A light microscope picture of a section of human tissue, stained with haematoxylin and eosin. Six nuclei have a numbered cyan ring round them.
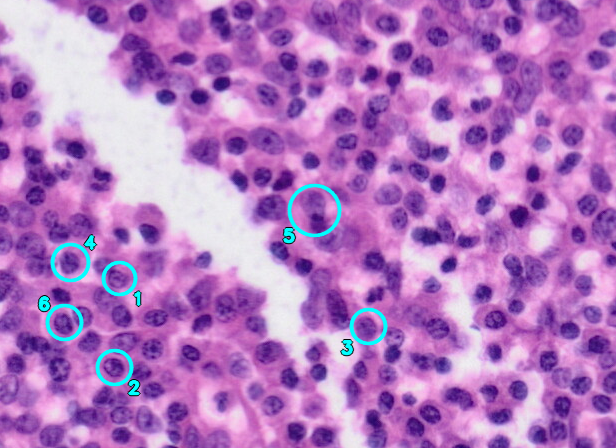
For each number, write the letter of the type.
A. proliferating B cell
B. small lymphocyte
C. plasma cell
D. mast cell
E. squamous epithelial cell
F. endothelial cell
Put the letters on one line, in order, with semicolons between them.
C; C; E; C; E; C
